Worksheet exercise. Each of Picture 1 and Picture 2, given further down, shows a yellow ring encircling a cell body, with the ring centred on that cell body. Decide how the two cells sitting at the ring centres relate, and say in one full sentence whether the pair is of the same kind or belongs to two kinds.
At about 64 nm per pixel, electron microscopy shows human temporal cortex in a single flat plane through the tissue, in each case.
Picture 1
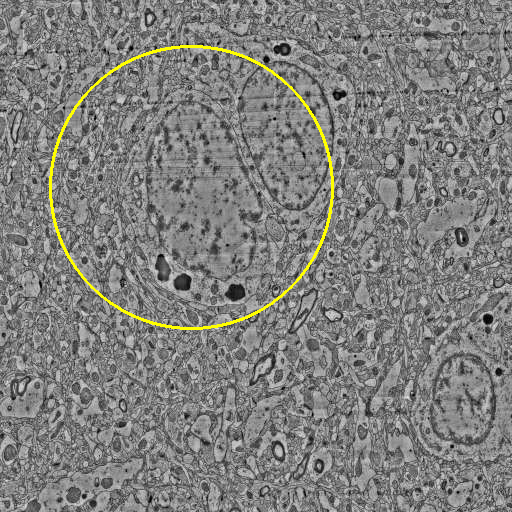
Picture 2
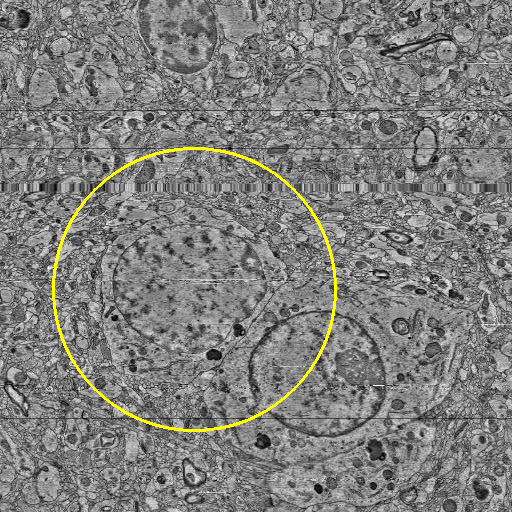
The cells at the ring centres in Picture 1 and Picture 2 are of the same kind.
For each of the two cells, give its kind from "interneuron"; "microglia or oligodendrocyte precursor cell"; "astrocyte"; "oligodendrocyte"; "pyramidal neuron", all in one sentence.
The cell at the ring centre is an interneuron in both pictures.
